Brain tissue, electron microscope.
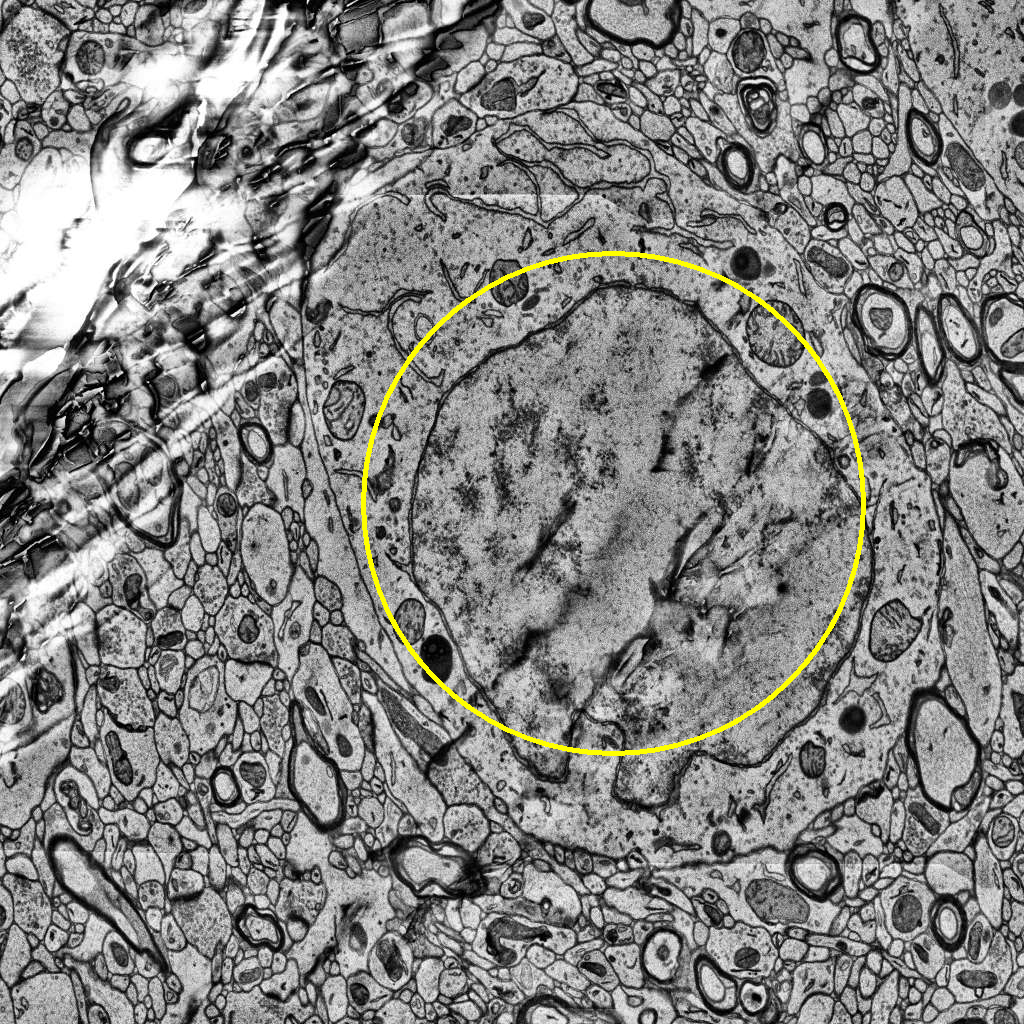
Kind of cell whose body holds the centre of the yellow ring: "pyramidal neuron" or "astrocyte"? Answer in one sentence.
The ring's centre falls on a pyramidal neuron.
